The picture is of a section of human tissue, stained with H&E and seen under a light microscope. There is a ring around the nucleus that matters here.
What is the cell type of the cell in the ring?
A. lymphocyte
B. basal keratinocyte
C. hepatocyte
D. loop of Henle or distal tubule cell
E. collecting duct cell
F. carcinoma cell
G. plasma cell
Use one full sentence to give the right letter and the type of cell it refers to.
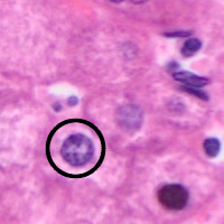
In keeping with option C, the cell in the ring is a hepatocyte.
